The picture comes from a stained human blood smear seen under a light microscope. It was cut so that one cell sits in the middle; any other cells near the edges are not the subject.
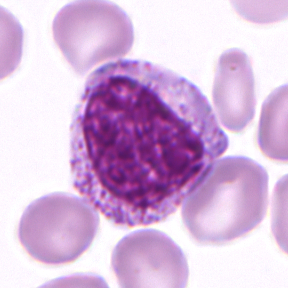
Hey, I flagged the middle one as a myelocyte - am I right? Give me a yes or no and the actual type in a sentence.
No, the central cell is a metamyelocyte; it should not be labelled a myelocyte.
